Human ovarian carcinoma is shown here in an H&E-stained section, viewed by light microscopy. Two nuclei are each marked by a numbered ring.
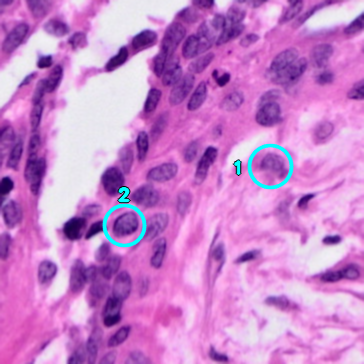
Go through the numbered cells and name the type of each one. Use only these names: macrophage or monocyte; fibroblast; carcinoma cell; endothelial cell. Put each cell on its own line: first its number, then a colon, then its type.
1: fibroblast
2: macrophage or monocyte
